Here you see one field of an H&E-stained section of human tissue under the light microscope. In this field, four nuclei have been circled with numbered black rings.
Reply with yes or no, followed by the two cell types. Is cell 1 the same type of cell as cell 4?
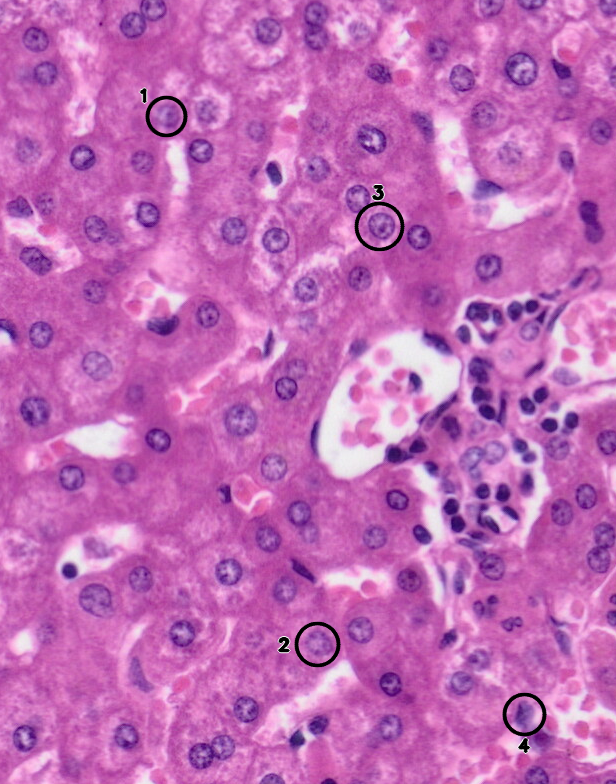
No, cell 1 is typed as a hepatocyte, and cell 4 is typed as a fibroblast or stellate cell.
